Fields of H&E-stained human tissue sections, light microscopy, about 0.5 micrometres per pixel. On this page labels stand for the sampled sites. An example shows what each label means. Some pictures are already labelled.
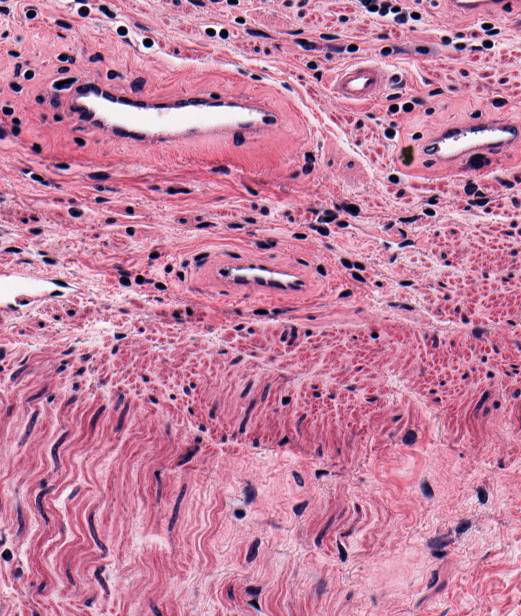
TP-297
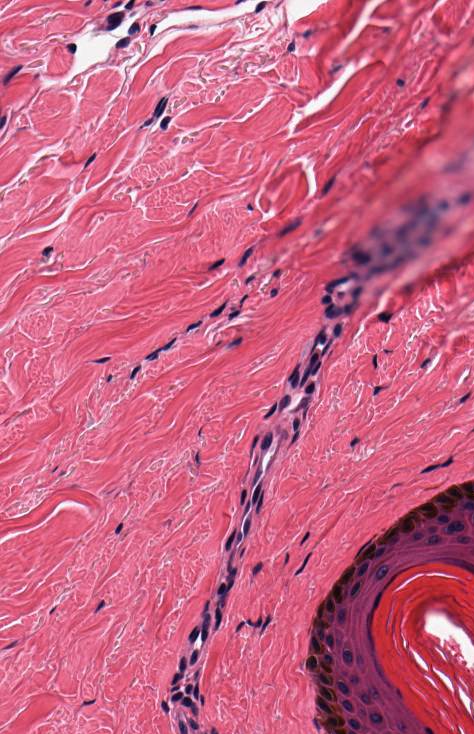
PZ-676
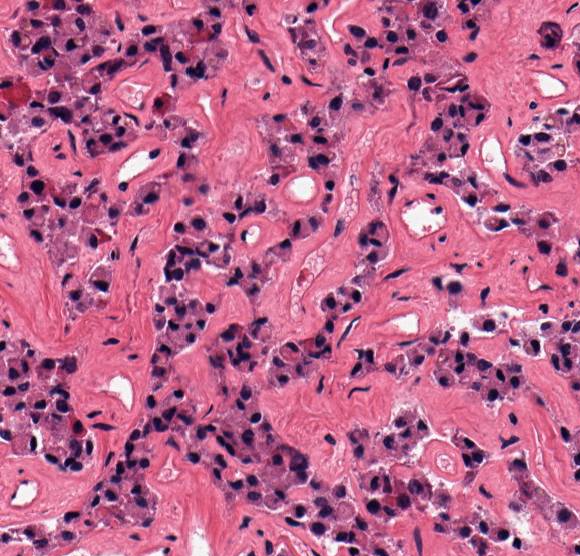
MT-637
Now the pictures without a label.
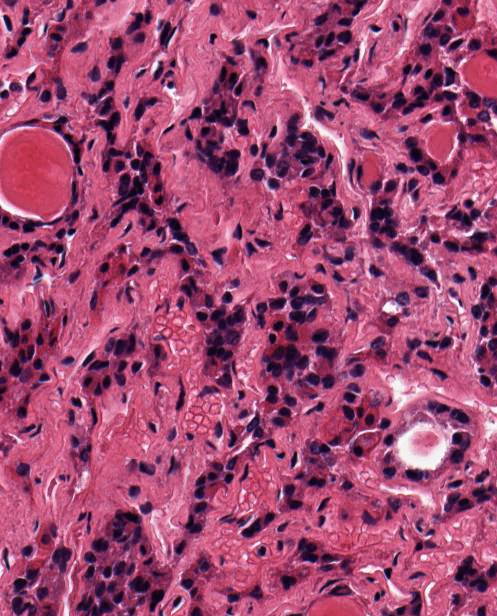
MT-637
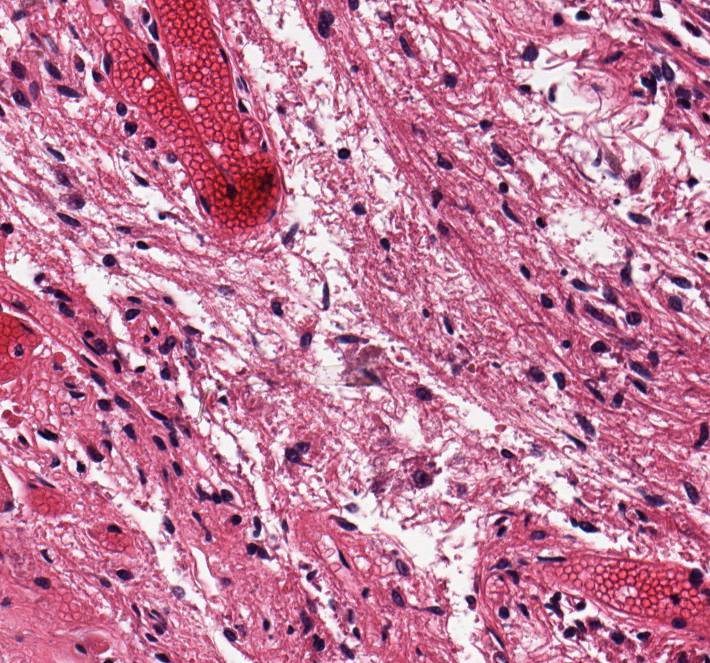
MT-637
